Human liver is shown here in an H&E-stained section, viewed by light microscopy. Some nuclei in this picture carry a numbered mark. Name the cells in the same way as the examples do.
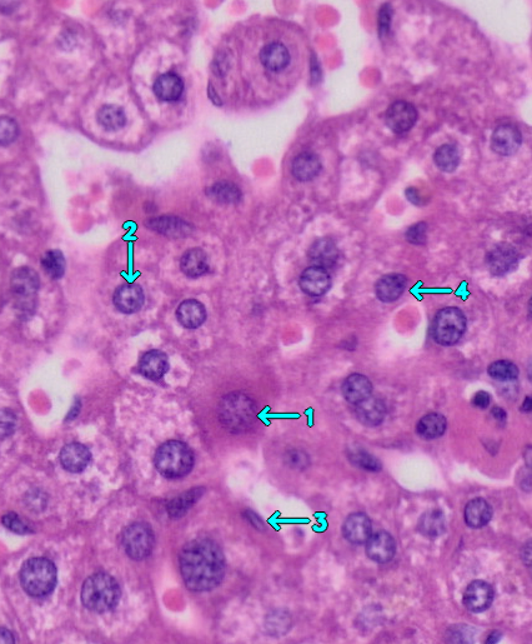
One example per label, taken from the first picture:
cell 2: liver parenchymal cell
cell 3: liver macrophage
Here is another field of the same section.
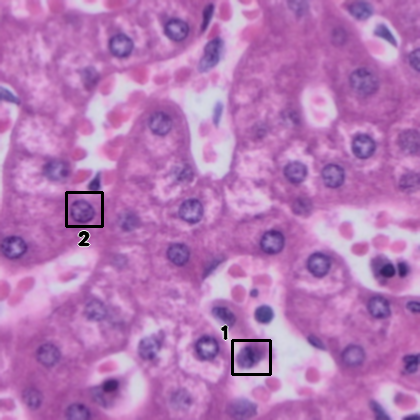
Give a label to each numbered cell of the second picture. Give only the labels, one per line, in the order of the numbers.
liver macrophage
liver parenchymal cell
